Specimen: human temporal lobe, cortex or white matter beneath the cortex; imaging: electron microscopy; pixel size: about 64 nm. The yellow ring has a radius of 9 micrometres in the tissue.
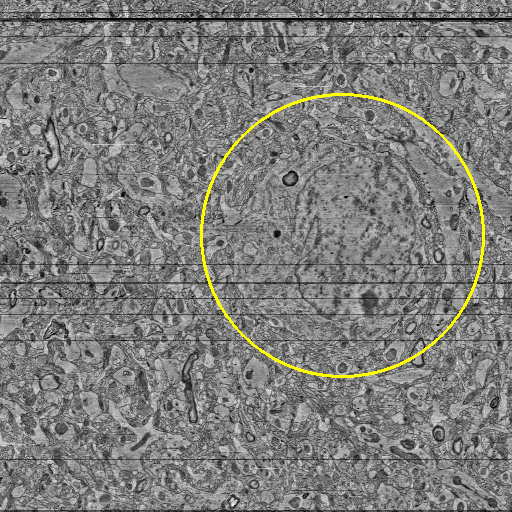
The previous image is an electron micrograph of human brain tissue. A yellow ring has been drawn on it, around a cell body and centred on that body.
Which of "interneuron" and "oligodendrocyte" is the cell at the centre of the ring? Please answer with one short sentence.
The cell body at the centre of the ring belongs to an interneuron.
